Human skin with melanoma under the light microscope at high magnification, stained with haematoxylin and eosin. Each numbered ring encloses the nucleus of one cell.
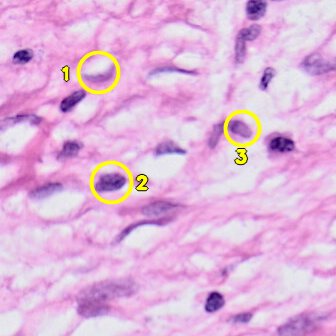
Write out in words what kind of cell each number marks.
Cell 1 is a fibroblast or myofibroblast. Cells 2 and 3 are macrophages or monocytes.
